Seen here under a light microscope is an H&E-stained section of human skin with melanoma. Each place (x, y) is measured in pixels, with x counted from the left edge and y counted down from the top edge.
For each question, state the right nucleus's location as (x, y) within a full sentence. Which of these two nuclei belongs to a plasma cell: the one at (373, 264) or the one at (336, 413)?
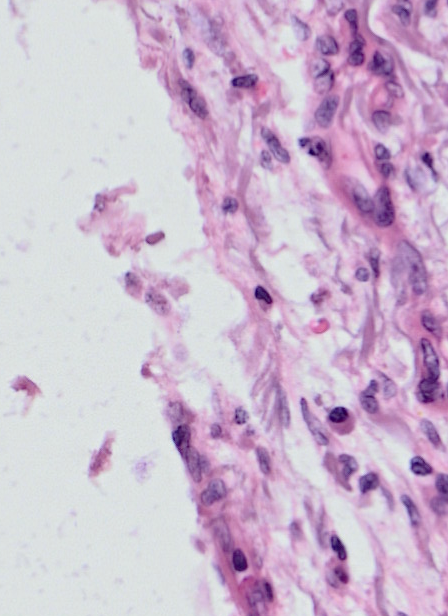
Identify the nucleus at (336, 413) as the one belonging to a plasma cell.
